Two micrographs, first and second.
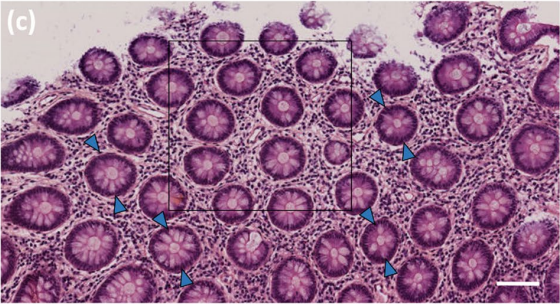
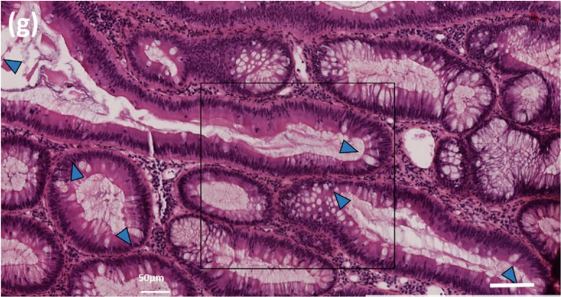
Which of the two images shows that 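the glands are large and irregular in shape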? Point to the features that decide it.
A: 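The second image. First image: round crypt profiles of nearly equal size evenly spaced.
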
